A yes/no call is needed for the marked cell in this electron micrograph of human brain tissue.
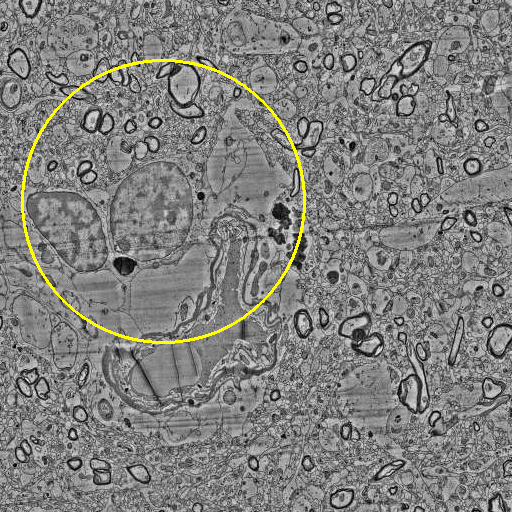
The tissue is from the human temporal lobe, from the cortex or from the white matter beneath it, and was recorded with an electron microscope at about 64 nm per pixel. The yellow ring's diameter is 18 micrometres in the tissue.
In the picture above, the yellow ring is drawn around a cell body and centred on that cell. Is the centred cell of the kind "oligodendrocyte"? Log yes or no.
yes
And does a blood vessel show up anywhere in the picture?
Yes.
